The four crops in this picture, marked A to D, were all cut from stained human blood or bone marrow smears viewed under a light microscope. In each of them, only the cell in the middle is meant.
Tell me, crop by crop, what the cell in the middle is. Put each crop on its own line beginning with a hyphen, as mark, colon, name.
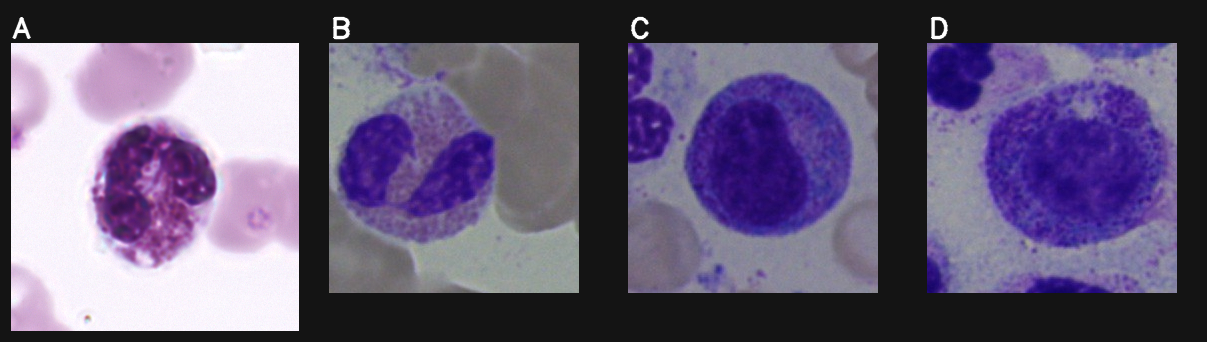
- A: eosinophil
- B: eosinophil
- C: myelocyte
- D: myelocyte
